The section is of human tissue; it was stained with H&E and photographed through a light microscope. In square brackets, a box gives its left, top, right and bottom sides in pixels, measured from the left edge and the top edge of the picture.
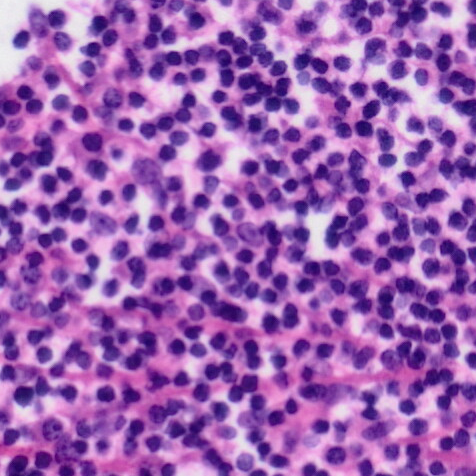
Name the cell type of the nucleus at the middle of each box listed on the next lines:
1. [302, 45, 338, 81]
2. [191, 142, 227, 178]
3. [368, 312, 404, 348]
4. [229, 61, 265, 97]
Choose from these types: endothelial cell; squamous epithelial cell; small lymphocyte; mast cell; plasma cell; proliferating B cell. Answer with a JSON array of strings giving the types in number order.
["small lymphocyte", "proliferating B cell", "small lymphocyte", "small lymphocyte"]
